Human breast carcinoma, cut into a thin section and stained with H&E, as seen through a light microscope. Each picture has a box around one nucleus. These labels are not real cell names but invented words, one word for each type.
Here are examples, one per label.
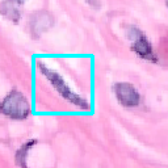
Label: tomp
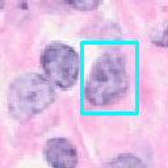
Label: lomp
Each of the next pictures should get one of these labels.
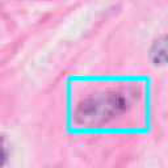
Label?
tomp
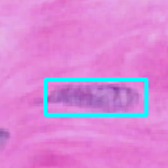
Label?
tomp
